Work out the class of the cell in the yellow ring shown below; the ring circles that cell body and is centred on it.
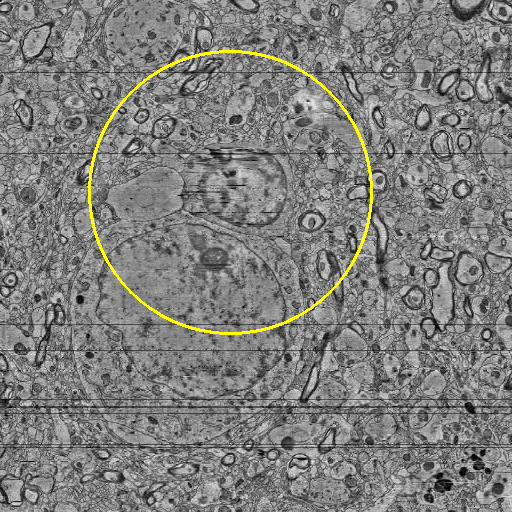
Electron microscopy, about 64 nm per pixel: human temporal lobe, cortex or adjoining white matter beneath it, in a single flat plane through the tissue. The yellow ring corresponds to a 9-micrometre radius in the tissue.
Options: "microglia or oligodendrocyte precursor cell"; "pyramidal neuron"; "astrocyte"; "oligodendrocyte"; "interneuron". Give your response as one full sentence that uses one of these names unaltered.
The body ringed in yellow, right at the ring's centre, is that of an oligodendrocyte.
